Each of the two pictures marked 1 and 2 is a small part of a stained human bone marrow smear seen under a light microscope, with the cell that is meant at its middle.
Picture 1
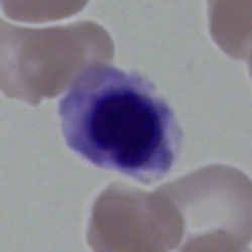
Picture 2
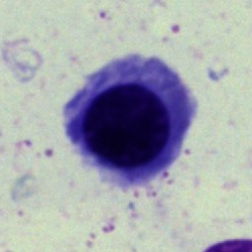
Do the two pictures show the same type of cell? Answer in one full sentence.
Yes; the cells in both pictures are erythroblasts.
